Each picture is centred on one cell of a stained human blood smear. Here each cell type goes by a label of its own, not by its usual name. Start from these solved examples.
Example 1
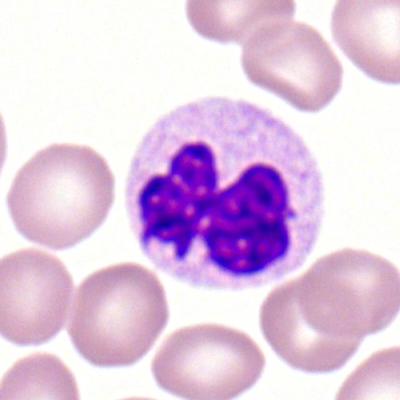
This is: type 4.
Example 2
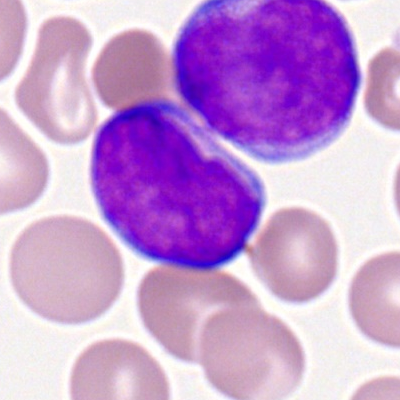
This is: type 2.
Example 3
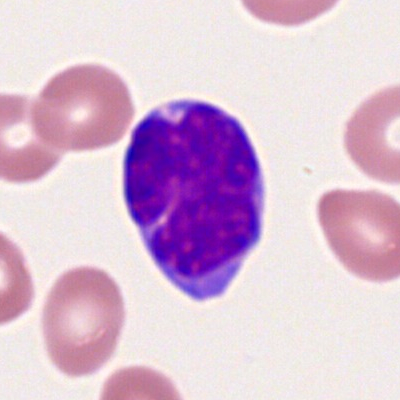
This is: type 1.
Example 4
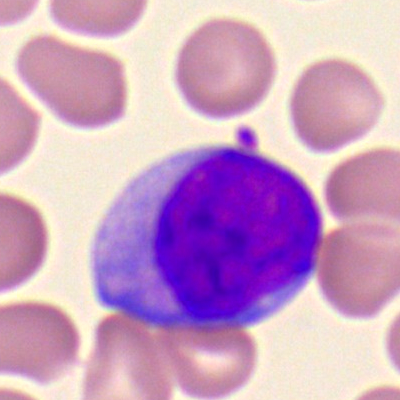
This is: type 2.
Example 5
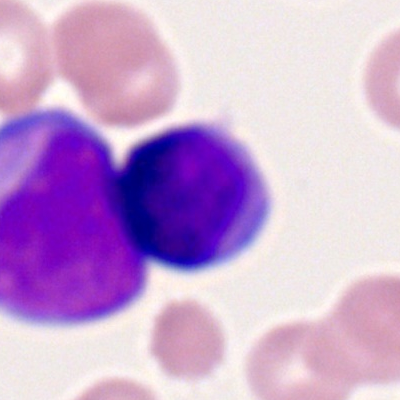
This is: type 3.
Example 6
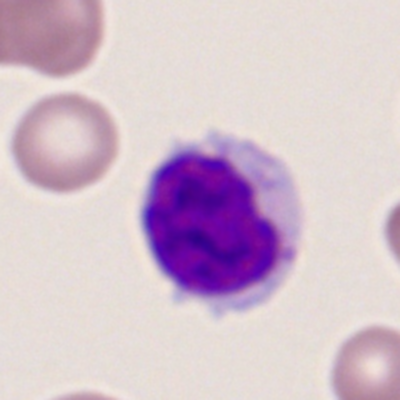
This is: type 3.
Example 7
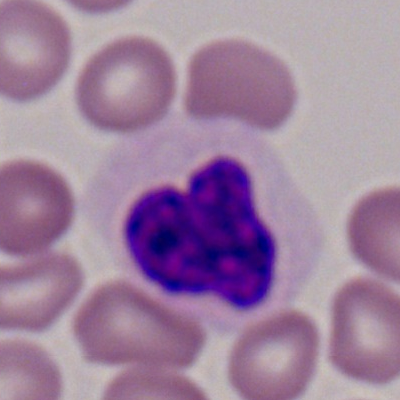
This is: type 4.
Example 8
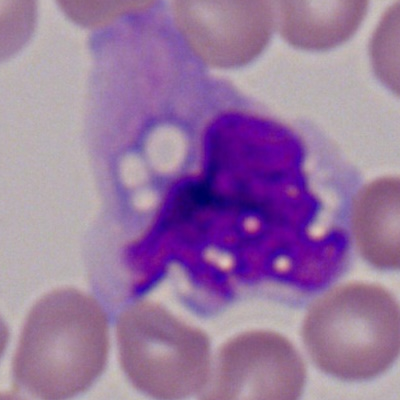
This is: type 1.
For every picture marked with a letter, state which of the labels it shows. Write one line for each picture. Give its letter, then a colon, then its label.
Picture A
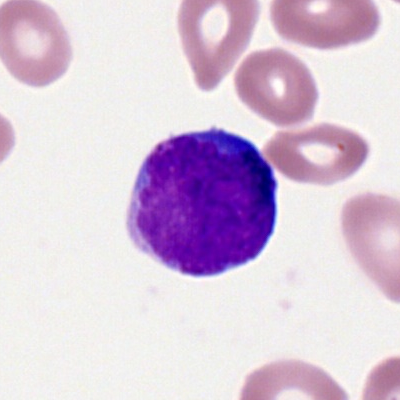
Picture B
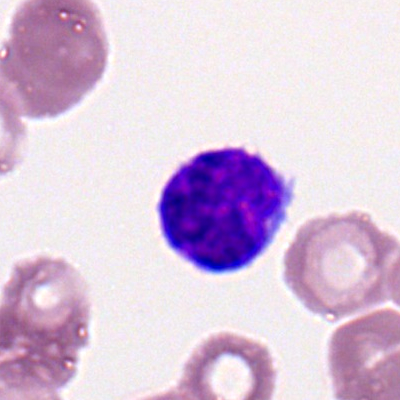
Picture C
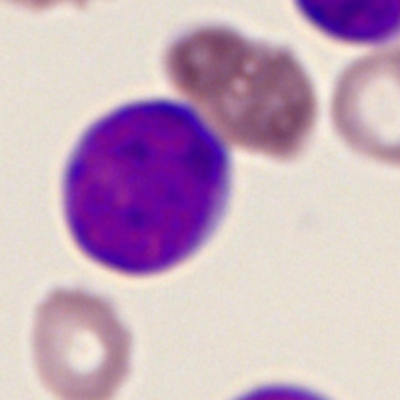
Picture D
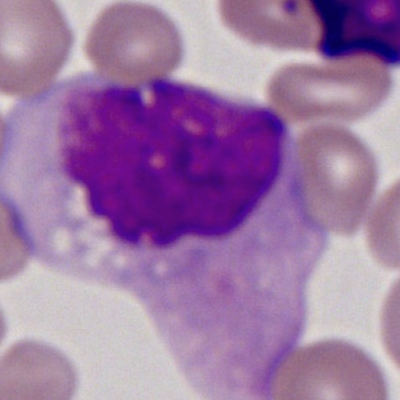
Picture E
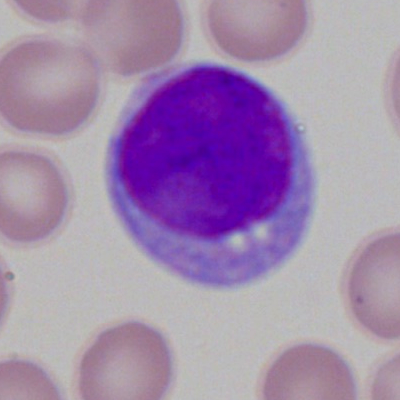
A: type 2.
B: type 3.
C: type 2.
D: type 1.
E: type 2.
